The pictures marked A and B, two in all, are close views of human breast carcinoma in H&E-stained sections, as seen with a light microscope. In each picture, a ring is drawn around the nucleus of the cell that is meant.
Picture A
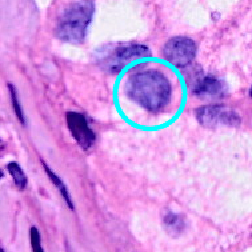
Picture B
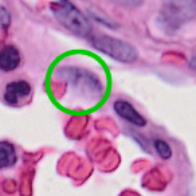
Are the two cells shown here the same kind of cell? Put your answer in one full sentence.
No, they differ: the cell is a carcinoma cell in picture A and an endothelial cell in picture B.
